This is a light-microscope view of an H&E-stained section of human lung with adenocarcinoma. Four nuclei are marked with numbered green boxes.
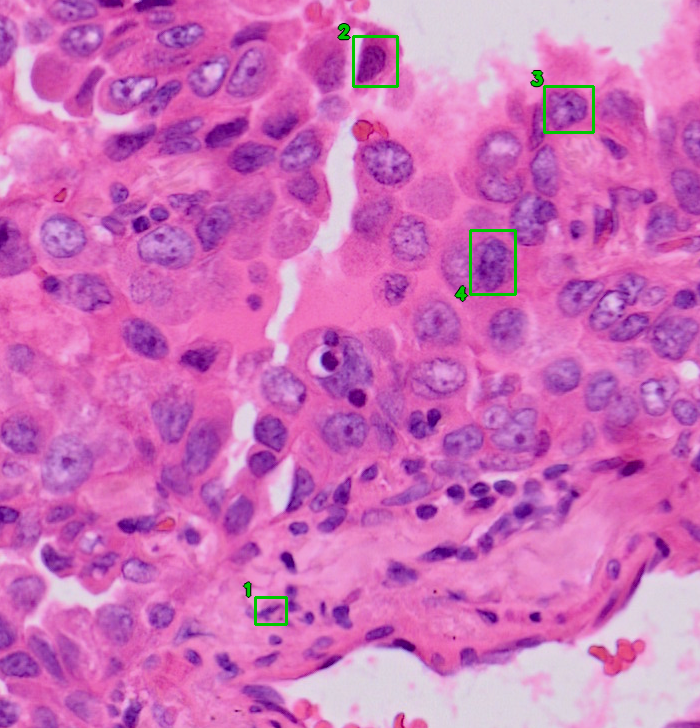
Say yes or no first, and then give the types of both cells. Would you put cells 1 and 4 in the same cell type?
No, cell 1 is a fibroblast and cell 4 is a carcinoma cell.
